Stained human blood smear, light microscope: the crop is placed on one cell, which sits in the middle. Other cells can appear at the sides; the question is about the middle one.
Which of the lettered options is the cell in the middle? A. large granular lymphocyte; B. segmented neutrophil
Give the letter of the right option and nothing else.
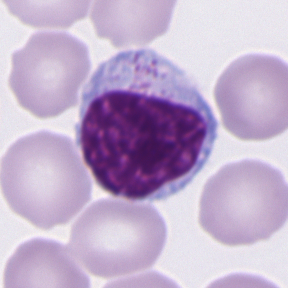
A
